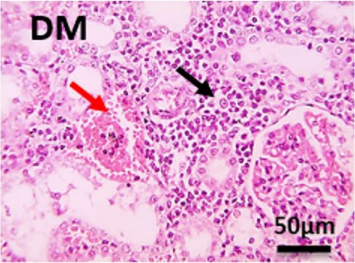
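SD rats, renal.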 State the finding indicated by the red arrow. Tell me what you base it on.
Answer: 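A vessel at the tip of the arrow is packed with red-pink blood cells. The answer: congested blood vessels.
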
